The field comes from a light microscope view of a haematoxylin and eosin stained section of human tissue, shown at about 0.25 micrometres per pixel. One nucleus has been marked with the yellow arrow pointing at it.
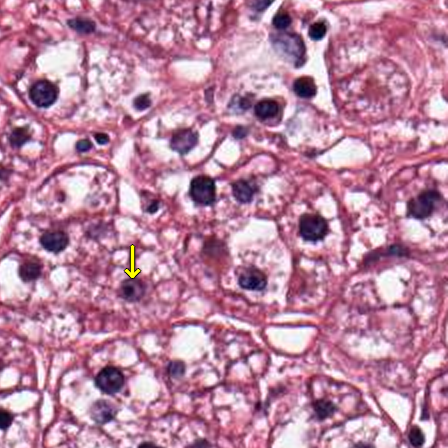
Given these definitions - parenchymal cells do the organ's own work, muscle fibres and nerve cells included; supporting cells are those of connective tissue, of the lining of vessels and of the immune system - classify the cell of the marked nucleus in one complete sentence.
This marked nucleus is part of a parenchymal cell, namely an adrenal cortical cell.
